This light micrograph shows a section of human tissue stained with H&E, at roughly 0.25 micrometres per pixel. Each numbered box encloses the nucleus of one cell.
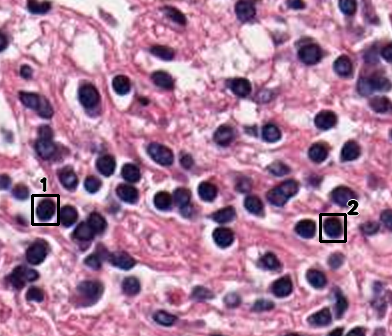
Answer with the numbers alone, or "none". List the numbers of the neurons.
none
